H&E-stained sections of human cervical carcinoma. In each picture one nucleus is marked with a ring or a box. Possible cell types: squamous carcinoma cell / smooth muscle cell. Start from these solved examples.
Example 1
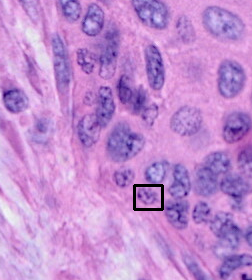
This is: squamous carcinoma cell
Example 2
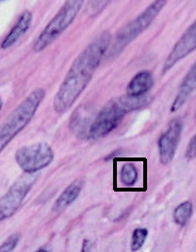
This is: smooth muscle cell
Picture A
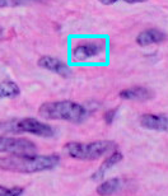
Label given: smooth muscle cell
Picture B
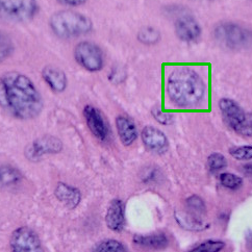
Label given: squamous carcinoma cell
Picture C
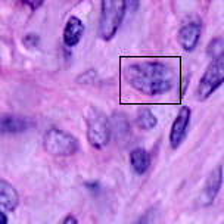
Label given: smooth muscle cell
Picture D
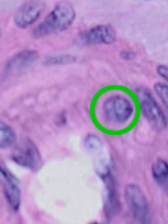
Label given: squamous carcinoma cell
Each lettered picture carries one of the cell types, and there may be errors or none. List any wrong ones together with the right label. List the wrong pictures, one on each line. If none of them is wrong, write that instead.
D: change squamous carcinoma cell to smooth muscle cell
